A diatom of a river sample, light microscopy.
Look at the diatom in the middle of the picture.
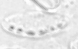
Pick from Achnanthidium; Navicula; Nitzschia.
Nitzschia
